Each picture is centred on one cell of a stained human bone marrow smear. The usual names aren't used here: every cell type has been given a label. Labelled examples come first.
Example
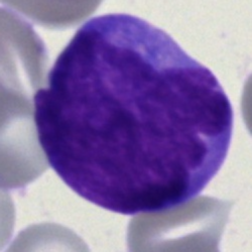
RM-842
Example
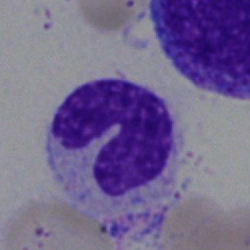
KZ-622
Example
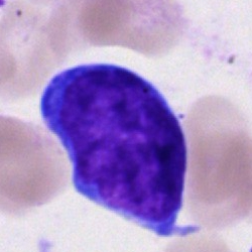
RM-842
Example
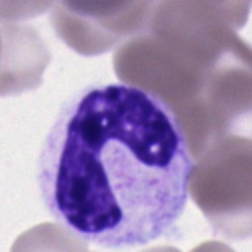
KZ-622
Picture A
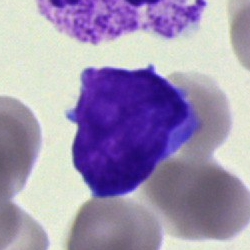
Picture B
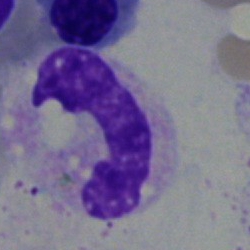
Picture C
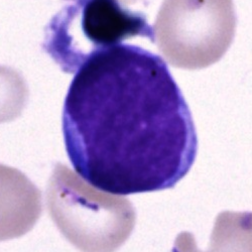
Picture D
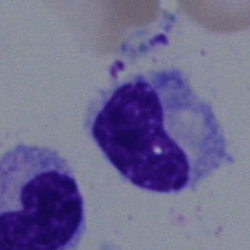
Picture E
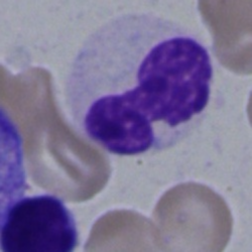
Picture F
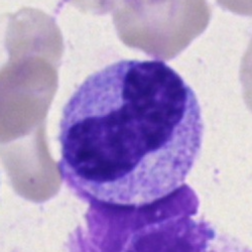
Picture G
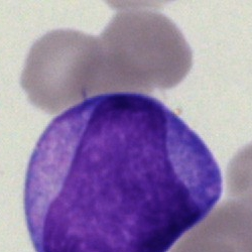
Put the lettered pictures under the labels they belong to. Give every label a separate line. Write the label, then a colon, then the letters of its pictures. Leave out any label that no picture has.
RM-842: A, C, G
KZ-622: B, D, E, F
